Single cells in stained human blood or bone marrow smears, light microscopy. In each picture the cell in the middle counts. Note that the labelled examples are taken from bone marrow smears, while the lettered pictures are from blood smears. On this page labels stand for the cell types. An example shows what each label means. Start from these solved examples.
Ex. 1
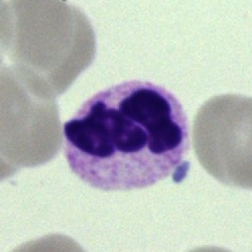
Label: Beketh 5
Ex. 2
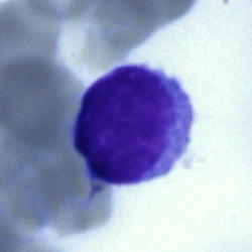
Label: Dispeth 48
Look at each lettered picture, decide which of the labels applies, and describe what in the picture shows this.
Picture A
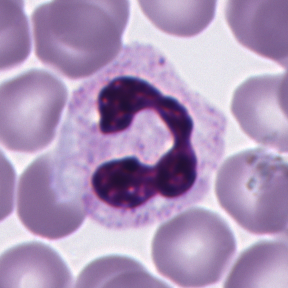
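Beketh 5: The cytoplasm is plentiful and pale pinkish-lilac.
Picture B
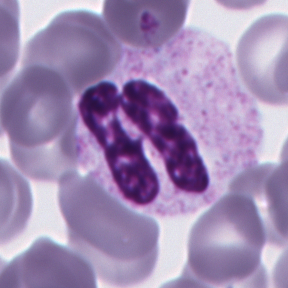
Beketh 5: The cytoplasm is plentiful and pale pink.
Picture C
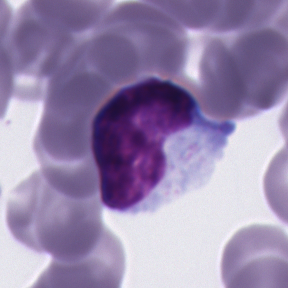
Dispeth 48: The nucleus is broadly bean-shaped, with its indented side facing right toward the cytoplasm.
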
